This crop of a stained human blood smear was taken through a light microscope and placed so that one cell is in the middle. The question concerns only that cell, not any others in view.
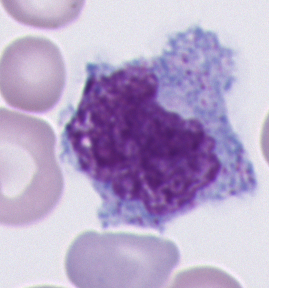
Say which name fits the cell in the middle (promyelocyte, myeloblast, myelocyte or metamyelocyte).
promyelocyte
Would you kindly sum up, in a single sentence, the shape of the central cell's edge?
An uneven margin is present, with either ragged stretches or outward projections.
